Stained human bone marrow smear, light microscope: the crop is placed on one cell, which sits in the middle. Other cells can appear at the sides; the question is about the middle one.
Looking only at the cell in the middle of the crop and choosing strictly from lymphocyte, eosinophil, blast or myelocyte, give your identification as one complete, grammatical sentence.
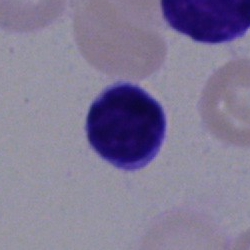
By type, the central cell of the crop is a lymphocyte.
